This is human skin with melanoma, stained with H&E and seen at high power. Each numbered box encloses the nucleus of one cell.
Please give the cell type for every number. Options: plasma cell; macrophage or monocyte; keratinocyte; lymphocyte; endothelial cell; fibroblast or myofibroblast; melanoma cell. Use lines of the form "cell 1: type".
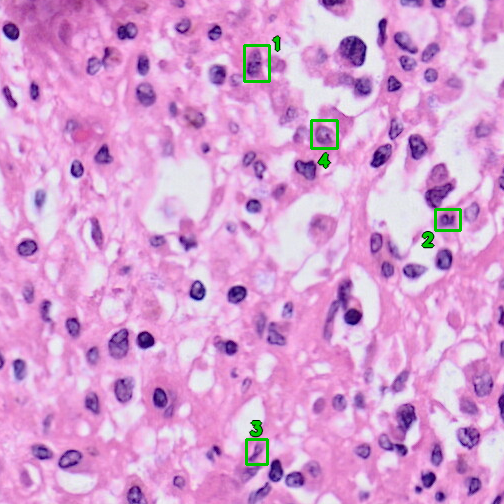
cell 1: macrophage or monocyte
cell 2: macrophage or monocyte
cell 3: fibroblast or myofibroblast
cell 4: macrophage or monocyte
